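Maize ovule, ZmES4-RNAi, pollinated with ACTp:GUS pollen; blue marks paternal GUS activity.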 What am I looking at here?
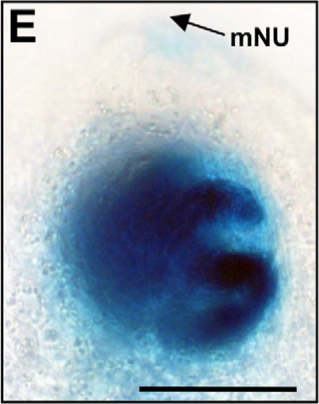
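A large, rounded mass of intense blue fills the centre of the view, with darker, lobed regions within it. The blue fades into a paler halo among the surrounding cells, whose outlines are faint. Only a trace of blue reaches the nucellus above.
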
